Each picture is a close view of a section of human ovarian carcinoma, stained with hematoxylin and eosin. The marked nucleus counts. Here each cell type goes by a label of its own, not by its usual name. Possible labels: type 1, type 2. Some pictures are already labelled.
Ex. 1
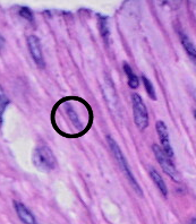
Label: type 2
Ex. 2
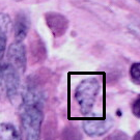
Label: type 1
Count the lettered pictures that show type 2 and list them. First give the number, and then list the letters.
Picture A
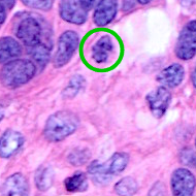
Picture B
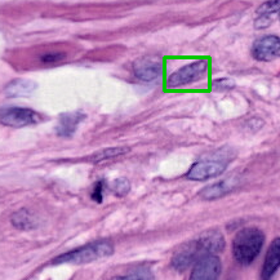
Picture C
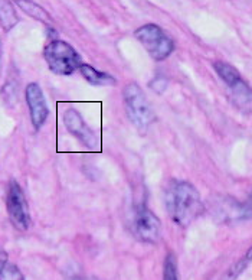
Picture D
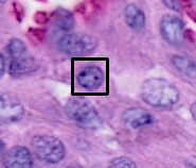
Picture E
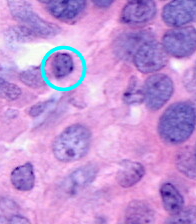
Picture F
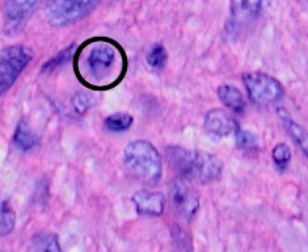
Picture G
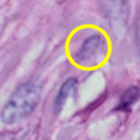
3: B, C, G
